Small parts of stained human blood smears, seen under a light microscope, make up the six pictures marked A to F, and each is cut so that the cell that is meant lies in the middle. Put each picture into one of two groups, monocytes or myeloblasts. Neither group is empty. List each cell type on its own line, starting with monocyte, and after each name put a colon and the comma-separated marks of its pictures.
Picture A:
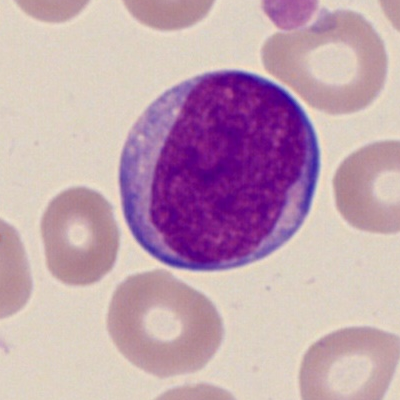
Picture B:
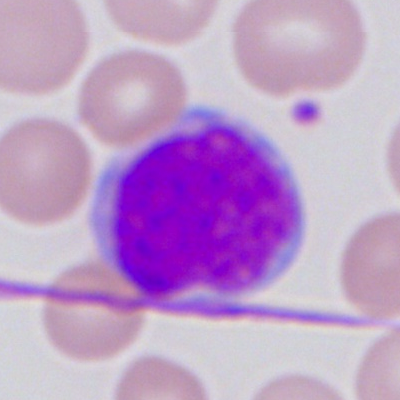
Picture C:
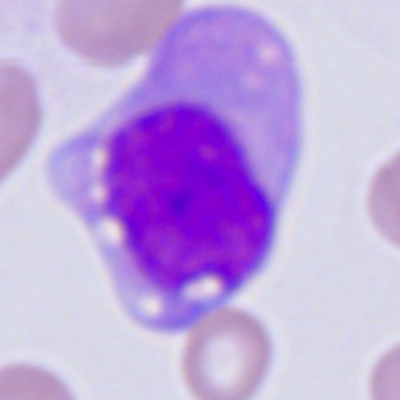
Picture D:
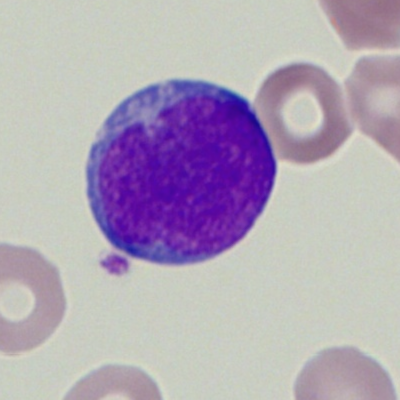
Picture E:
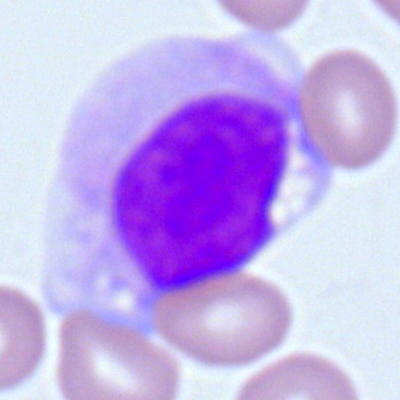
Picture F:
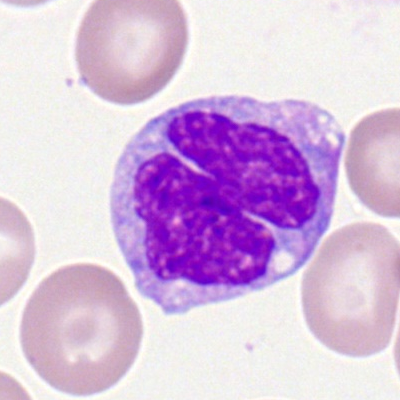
monocyte: C, E, F
myeloblast: A, B, D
